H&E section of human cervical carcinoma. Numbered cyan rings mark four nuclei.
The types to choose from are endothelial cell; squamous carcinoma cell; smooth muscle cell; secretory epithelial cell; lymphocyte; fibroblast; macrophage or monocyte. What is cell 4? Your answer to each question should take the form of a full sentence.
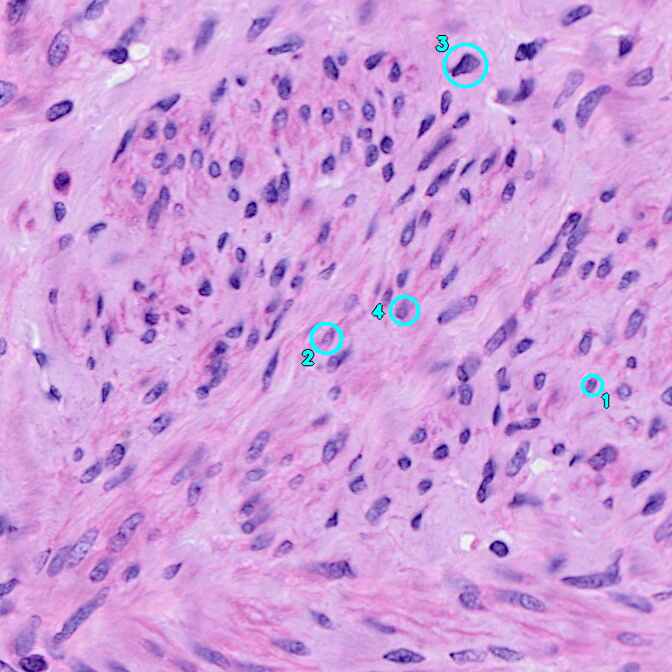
Cell 4 in the field of view is a smooth muscle cell.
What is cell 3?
The one numbered 3 among the marked cells is a fibroblast.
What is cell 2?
The cell numbered 2 represents a smooth muscle cell.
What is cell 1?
The cell pointed out as number 1 is a smooth muscle cell.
